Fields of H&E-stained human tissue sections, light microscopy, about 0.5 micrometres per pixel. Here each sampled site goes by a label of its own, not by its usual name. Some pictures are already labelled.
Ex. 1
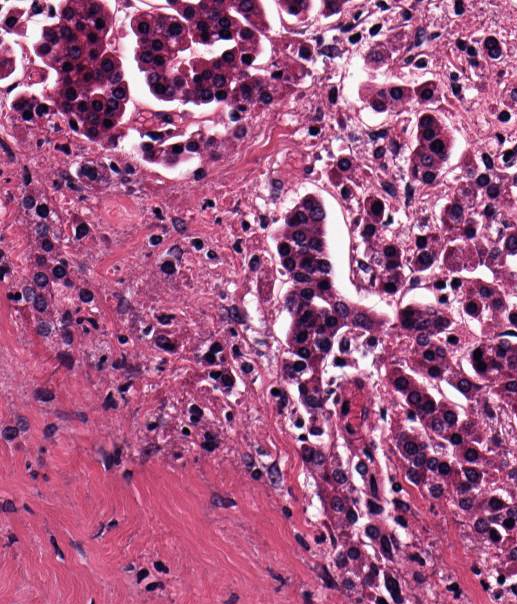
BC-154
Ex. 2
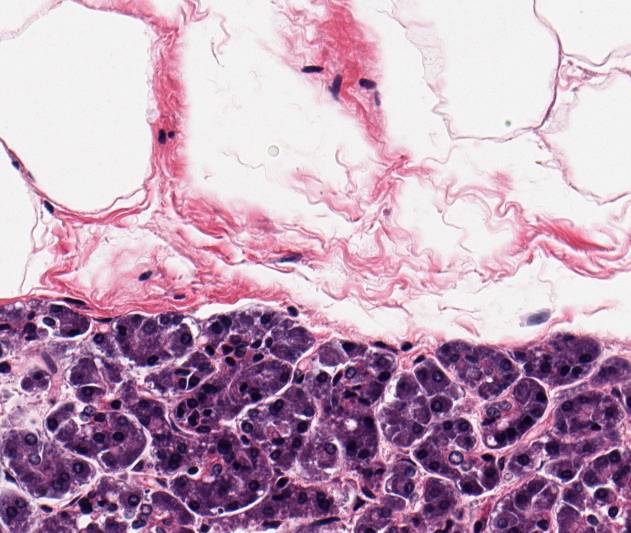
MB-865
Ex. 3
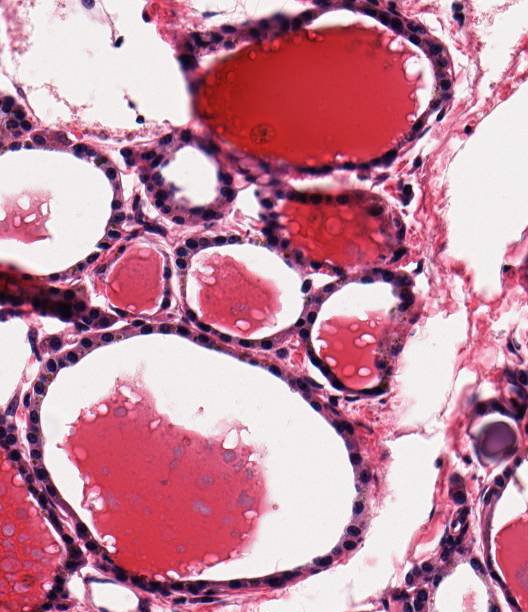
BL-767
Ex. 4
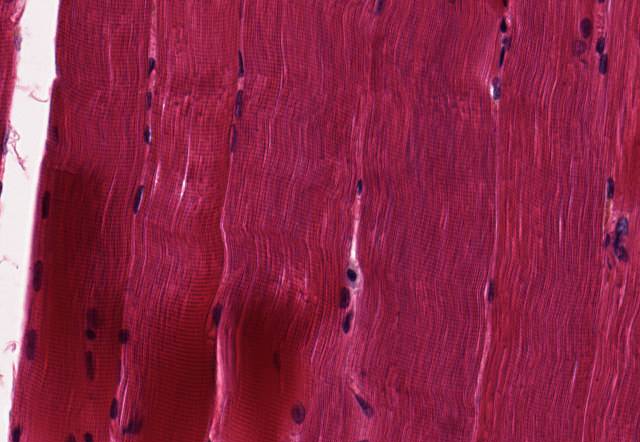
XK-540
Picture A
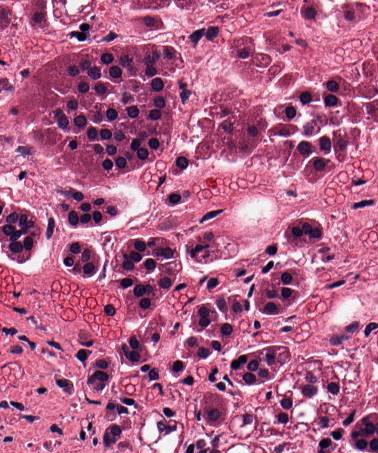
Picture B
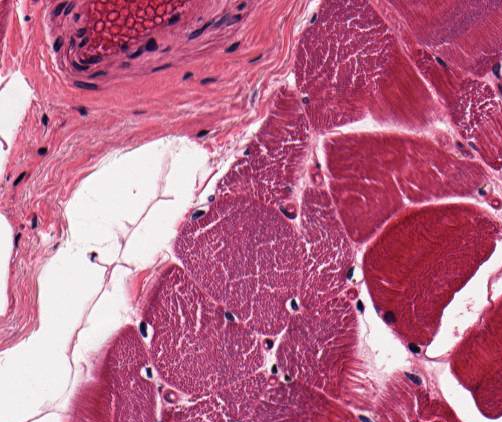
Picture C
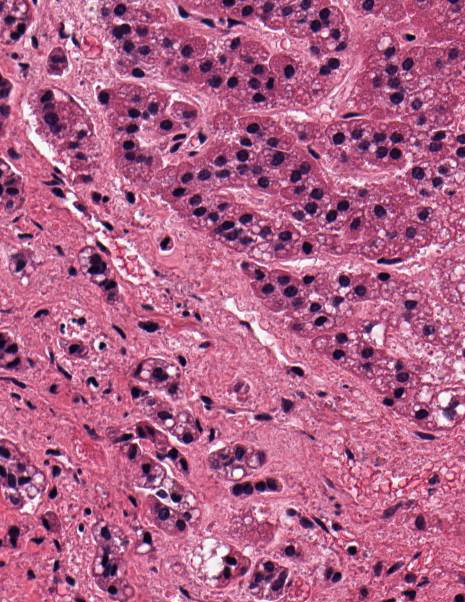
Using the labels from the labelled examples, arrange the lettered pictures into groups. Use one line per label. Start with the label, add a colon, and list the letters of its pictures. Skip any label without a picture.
BC-154: A, C
XK-540: B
